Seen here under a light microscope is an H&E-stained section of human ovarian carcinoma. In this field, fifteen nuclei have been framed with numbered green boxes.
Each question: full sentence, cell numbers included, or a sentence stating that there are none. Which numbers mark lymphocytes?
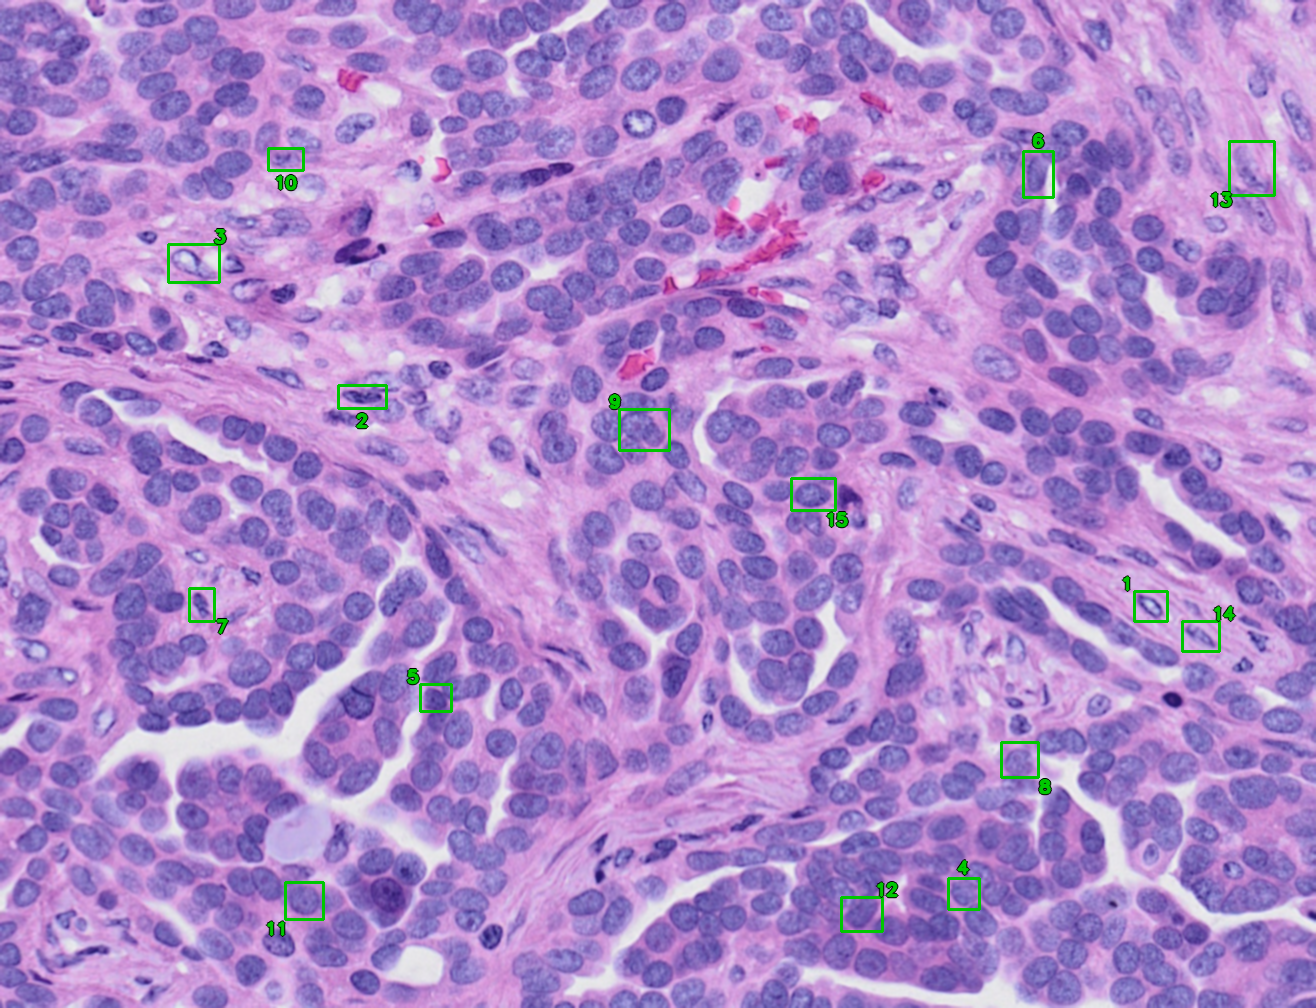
Among the numbered cells, the one that is a lymphocyte is cell 2 alone.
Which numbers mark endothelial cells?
The tally for endothelial cells among the numbered cells is zero.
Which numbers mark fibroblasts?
Each of the cells numbered 1, 3, 7, 10, 13 and 14 is among the fibroblasts.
